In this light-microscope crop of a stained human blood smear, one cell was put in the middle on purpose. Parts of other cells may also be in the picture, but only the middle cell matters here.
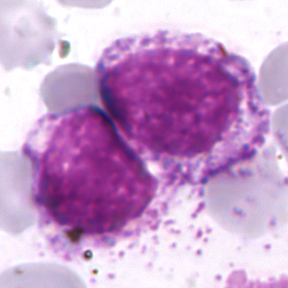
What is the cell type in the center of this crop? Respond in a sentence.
The central element of this crop is a cell, namely a myelocyte.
